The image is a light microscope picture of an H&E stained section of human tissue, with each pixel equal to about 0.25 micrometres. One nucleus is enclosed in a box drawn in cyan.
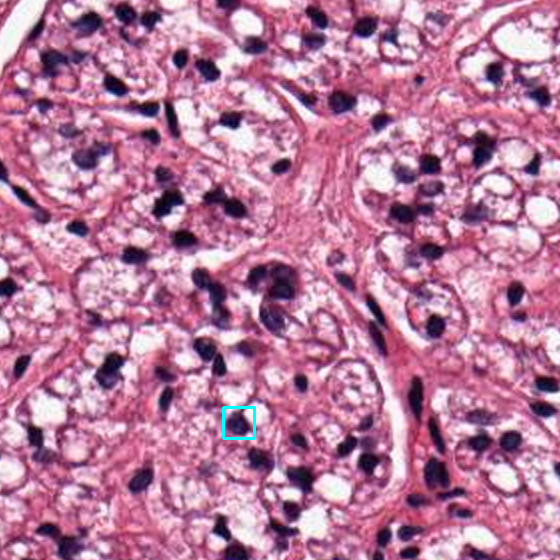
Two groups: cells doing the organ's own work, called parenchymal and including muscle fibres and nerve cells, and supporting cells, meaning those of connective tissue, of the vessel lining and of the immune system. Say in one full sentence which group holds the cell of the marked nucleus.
What the marked nucleus belongs to is a parenchymal cell, namely an adrenal cortical cell.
